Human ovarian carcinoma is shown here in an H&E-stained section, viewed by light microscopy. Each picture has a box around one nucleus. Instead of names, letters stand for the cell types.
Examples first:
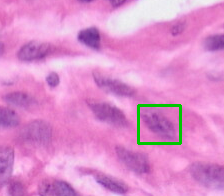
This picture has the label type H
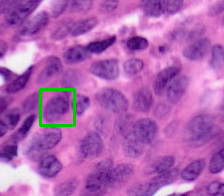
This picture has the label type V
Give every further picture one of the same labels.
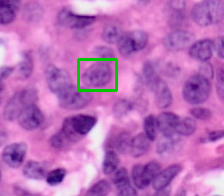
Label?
type V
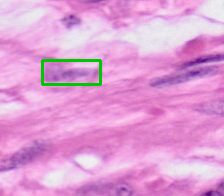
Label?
type H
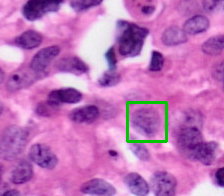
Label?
type V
